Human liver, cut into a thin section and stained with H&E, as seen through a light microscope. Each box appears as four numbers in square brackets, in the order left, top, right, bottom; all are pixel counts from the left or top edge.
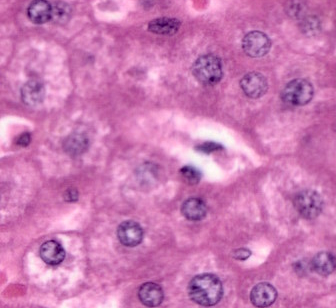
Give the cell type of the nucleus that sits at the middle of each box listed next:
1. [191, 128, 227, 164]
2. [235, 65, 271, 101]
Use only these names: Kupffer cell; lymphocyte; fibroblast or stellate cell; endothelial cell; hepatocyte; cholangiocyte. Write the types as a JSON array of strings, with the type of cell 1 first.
["Kupffer cell", "hepatocyte"]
